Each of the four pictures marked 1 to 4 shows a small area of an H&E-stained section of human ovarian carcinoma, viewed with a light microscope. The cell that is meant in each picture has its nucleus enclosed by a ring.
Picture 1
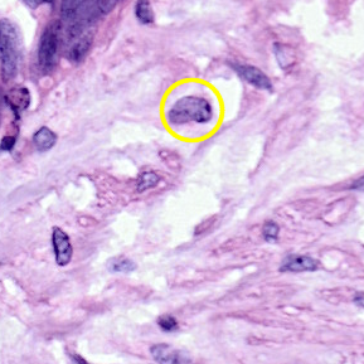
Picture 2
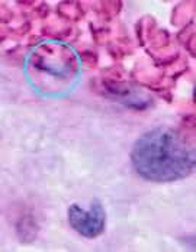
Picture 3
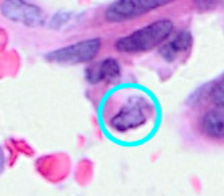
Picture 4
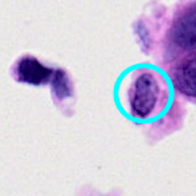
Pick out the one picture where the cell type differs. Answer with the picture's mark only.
2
